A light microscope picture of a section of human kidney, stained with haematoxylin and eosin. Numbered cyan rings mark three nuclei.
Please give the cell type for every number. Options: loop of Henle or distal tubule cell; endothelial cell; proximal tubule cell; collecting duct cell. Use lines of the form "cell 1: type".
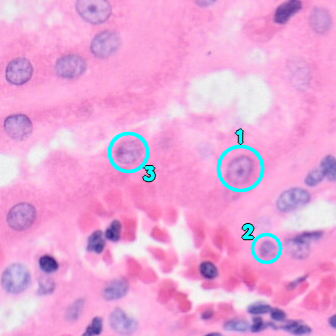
cell 1: proximal tubule cell
cell 2: collecting duct cell
cell 3: proximal tubule cell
